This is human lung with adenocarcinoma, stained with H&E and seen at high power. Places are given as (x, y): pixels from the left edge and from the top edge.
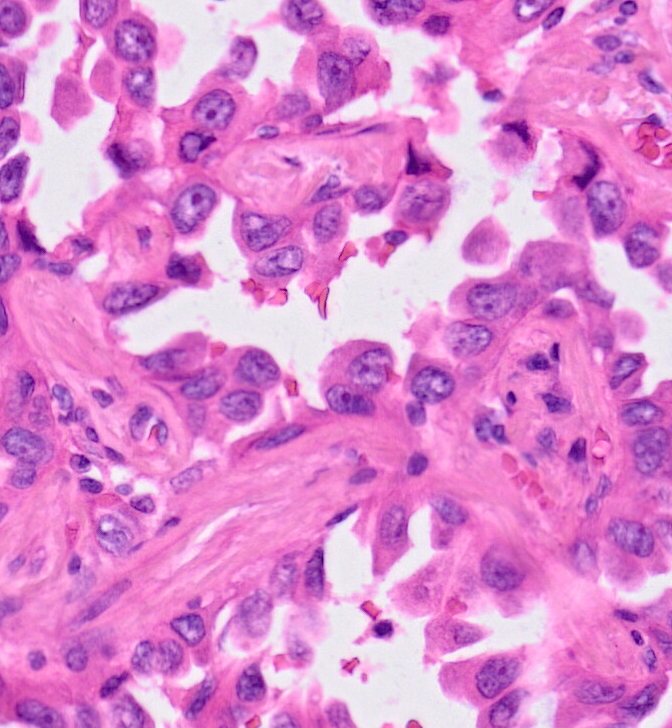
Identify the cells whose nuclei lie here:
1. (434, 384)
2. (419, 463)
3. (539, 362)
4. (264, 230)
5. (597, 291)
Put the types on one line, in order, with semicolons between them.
carcinoma cell; lymphocyte; plasma cell; carcinoma cell; carcinoma cell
